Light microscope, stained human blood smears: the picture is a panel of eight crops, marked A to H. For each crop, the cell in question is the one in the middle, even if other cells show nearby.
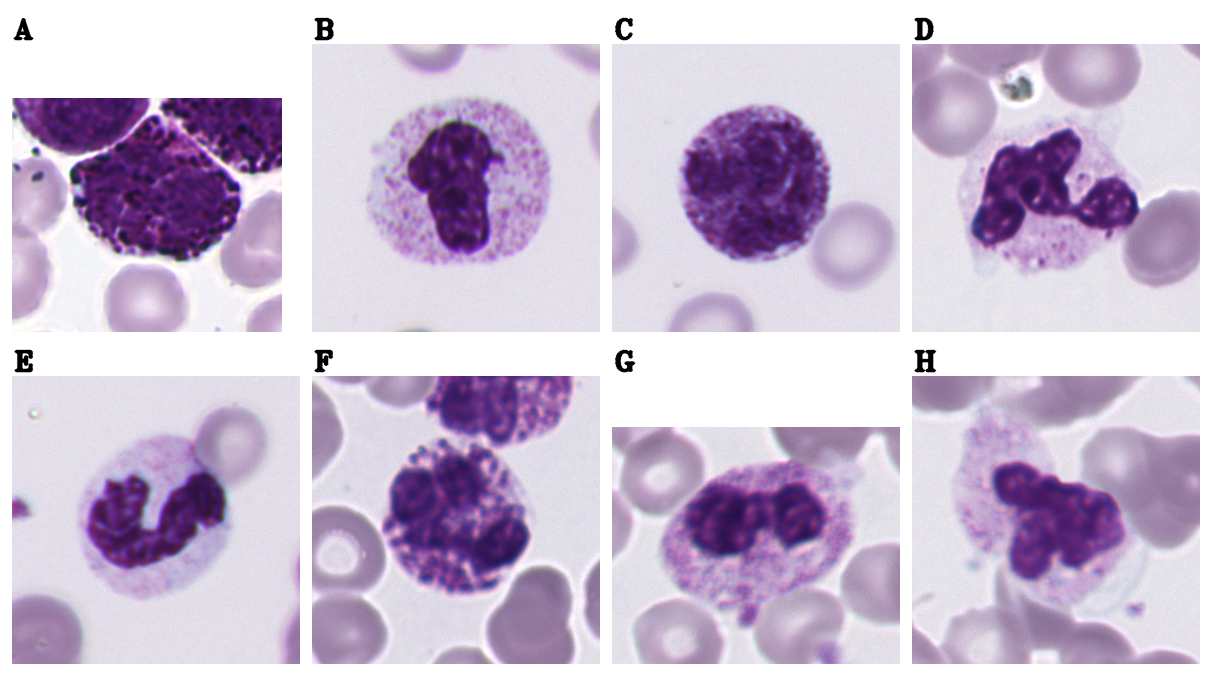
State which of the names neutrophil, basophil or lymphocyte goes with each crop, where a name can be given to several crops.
A: basophil
B: neutrophil
C: basophil
D: neutrophil
E: neutrophil
F: basophil
G: neutrophil
H: neutrophil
